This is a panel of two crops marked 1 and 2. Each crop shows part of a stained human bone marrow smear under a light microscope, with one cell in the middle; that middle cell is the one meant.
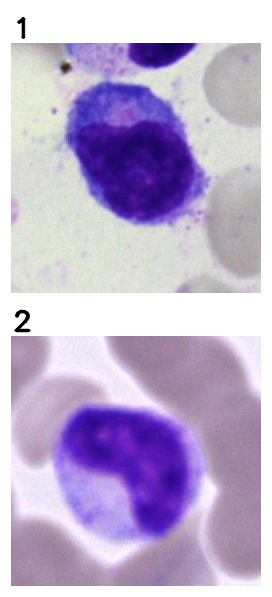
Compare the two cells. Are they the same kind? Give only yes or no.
no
